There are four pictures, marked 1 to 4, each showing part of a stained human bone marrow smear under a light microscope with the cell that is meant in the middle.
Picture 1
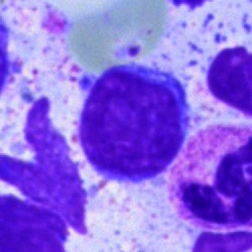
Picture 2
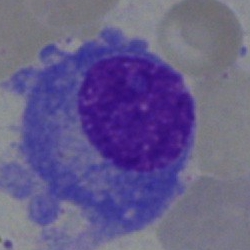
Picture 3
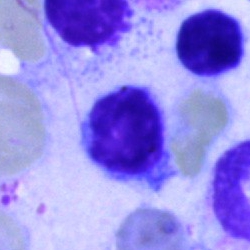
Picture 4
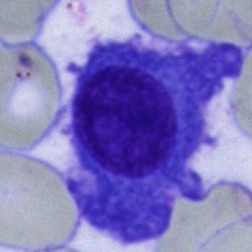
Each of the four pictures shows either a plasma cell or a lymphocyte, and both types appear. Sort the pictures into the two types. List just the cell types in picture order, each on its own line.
lymphocyte
plasma cell
lymphocyte
plasma cell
